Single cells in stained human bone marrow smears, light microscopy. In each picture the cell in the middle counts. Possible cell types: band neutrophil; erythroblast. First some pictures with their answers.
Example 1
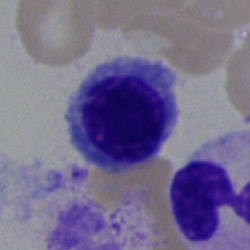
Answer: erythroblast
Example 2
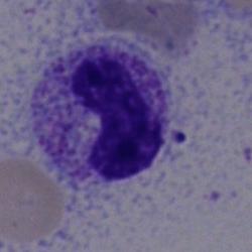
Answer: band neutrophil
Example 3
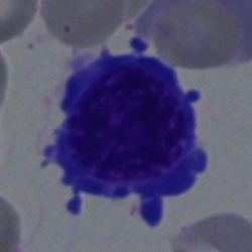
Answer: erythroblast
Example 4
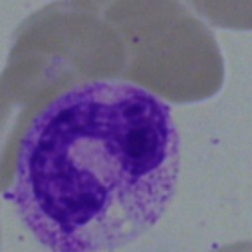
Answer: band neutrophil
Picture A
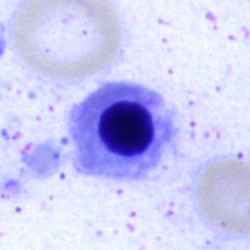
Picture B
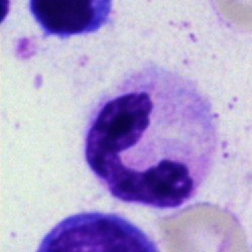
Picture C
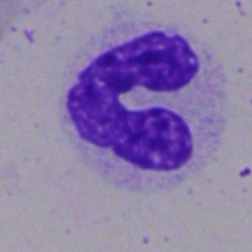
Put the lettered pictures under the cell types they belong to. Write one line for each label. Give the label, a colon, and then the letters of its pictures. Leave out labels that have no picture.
band neutrophil: B, C
erythroblast: A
